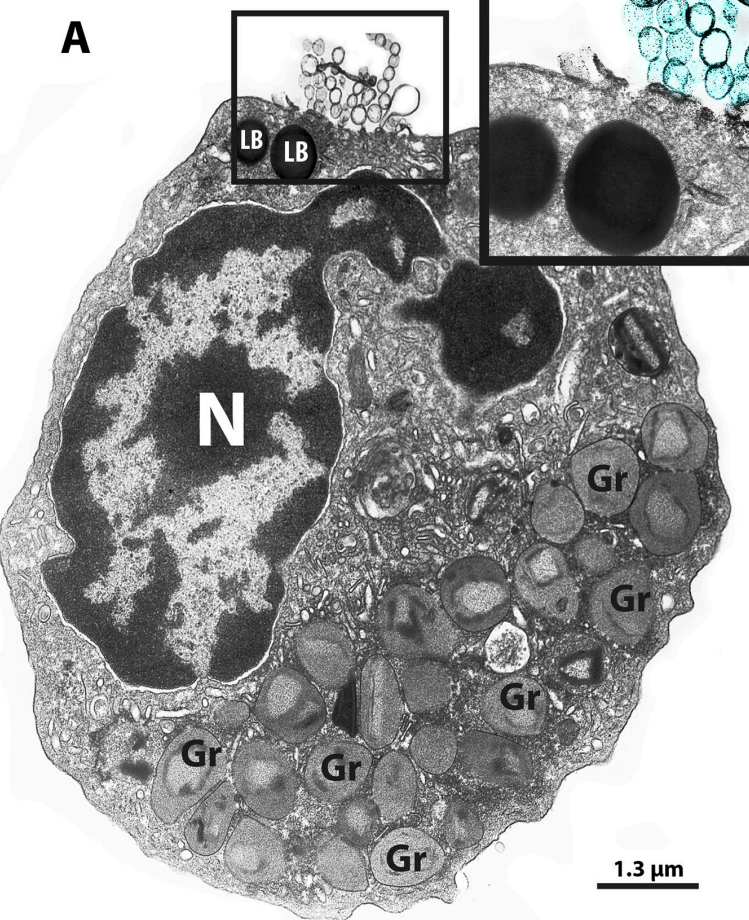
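A large nucleus with clumped dense chromatin along its rim occupies one side, with a second dense lobe nearby. The cytoplasm on the other side is crowded with round to oval membrane-bound specific granules whose cores show pale lucent areas. Two very dark round lipid bodies sit just under the plasma membrane at the top, where a cluster of small vesicles projects from the cell surface.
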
